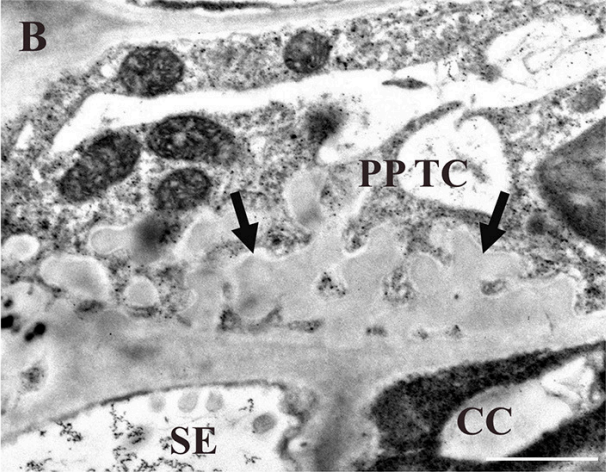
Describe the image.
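The wall of the transfer cell that faces these two cells carries a thick layer of pale, branched wall ingrowths projecting into its cytoplasm. Narrow strands of cytoplasm lie between the lobes of ingrowth material. Further from this wall the transfer cell holds several mitochondria with visible cristae and a clear vacuole. The sieve element has a pale lumen with sparse filaments, while the companion cell has densely stained cytoplasm.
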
